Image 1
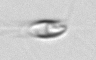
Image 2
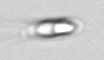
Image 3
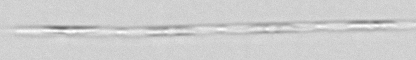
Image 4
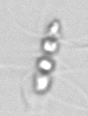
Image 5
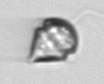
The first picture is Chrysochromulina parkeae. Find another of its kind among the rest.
Picture 2.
